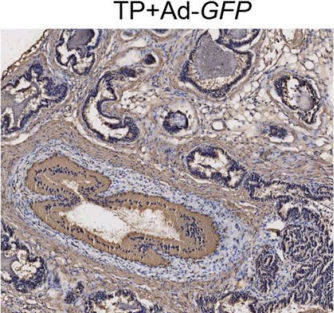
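A large duct-like gland at lower left shows a thick brown-stained epithelial band surrounded by concentric layers of stroma. The stroma between glands is also lightly brown, and some lumens contain pale grey secretion.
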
